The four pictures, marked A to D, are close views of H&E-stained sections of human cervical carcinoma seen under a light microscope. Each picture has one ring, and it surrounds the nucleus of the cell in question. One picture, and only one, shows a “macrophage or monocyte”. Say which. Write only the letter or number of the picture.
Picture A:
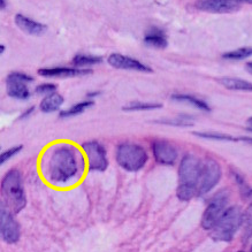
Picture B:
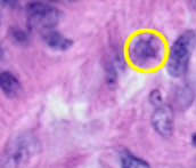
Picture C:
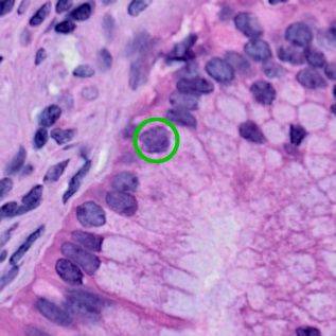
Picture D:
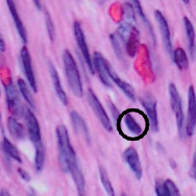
B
